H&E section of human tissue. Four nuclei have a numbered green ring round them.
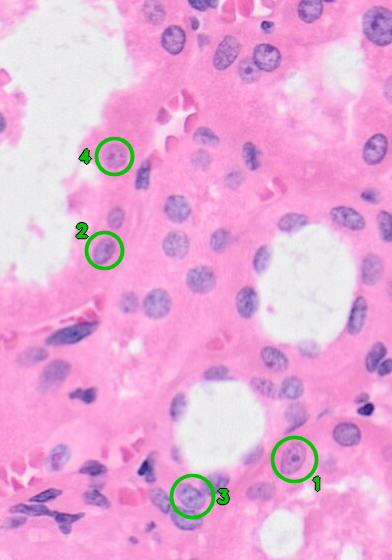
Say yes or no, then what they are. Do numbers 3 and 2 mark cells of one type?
No, that does not hold; cell 3 is a collecting duct cell and cell 2 is a proximal tubule cell.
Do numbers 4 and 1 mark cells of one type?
Yes, cells 4 and 1 are both proximal tubule cells and thus of one type.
